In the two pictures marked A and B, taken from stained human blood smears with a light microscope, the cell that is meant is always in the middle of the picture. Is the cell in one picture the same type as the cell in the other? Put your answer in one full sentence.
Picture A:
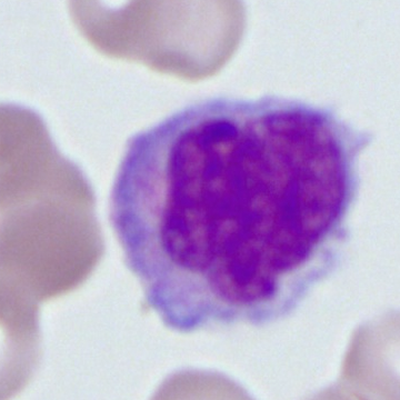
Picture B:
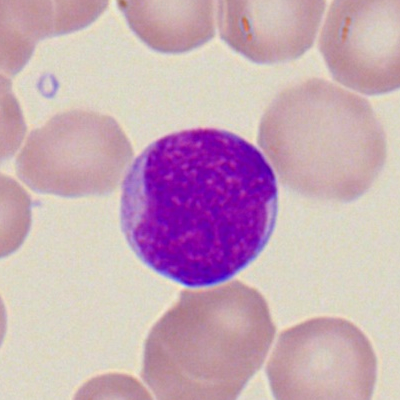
No, picture A shows a monocyte and picture B shows a myeloblast.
